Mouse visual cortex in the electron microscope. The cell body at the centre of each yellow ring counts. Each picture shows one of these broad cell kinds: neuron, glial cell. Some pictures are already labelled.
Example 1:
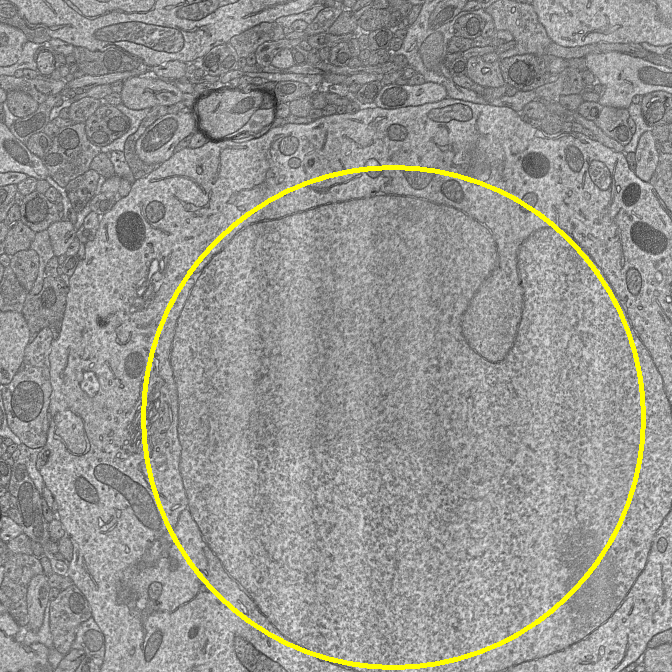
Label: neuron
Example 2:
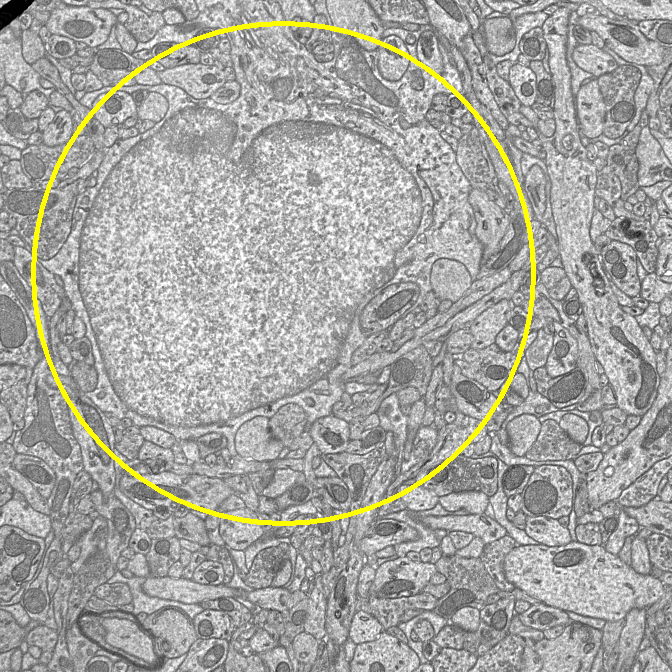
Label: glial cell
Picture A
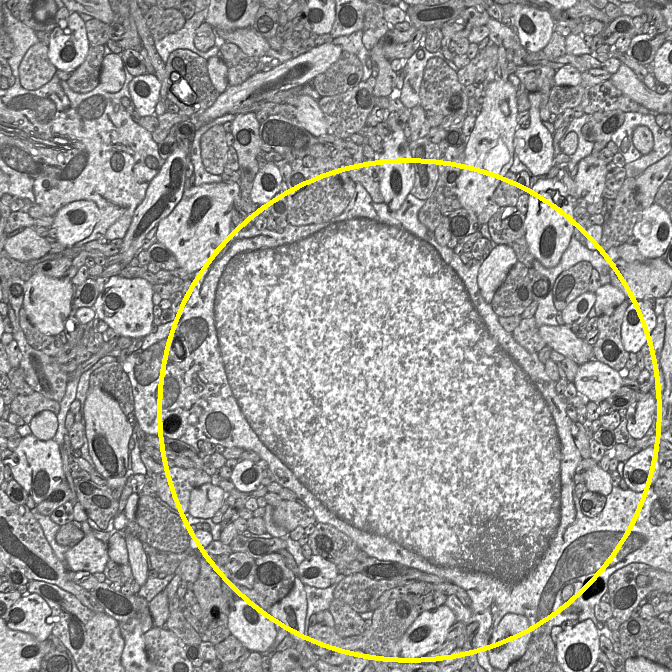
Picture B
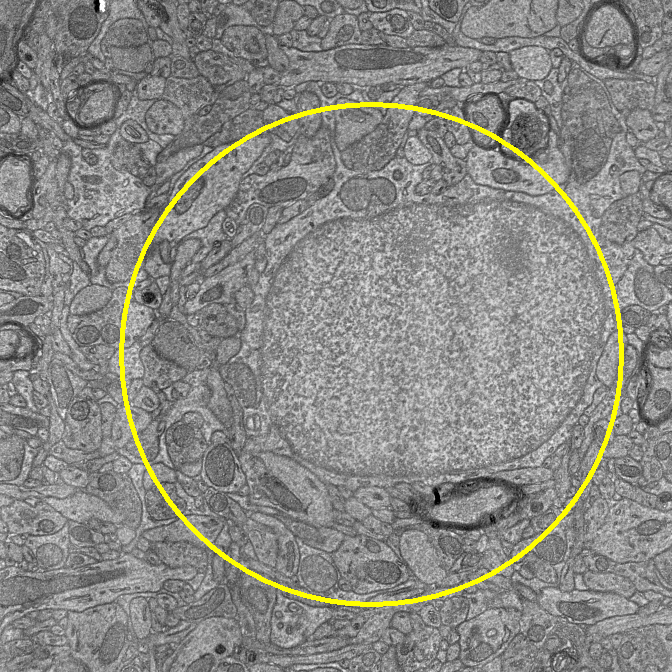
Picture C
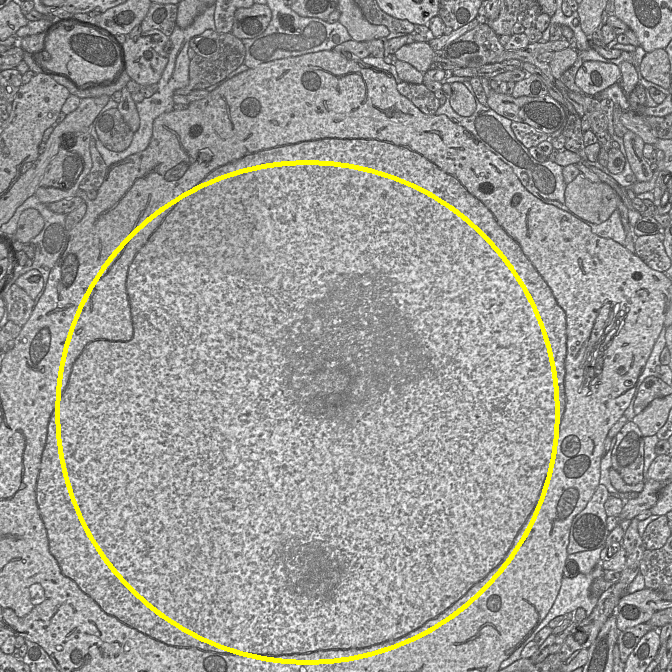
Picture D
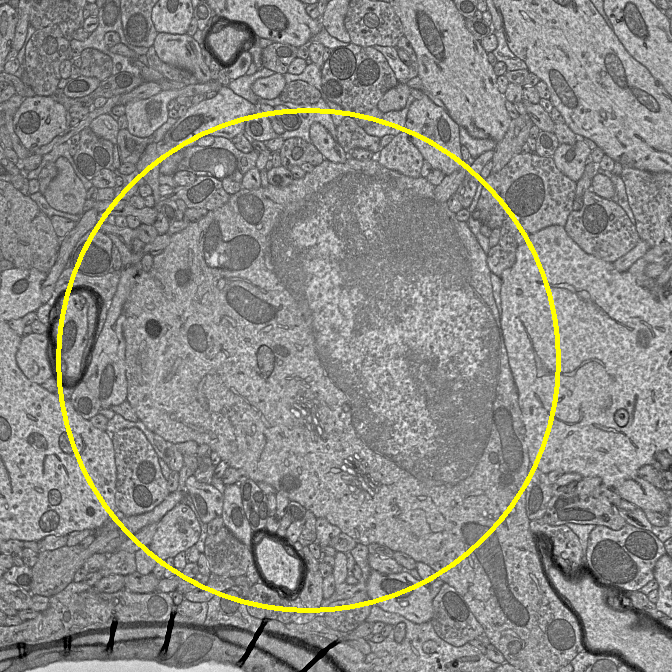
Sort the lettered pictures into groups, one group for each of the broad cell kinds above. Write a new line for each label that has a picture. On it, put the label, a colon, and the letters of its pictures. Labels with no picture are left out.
neuron: C
glial cell: A, B, D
